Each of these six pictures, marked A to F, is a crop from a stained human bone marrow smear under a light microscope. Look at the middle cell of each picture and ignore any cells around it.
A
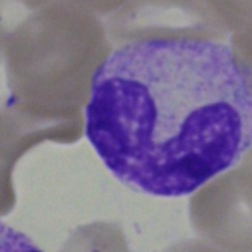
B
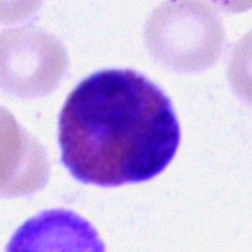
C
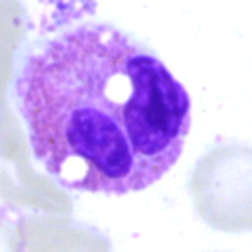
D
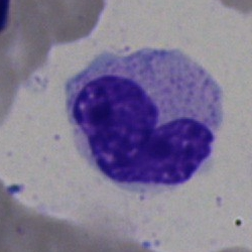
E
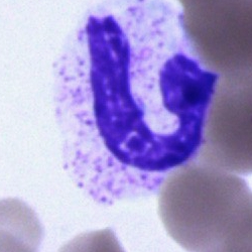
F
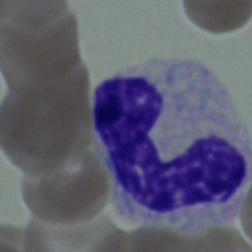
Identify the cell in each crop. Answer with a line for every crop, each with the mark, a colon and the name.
A: band neutrophil
B: eosinophil
C: eosinophil
D: band neutrophil
E: band neutrophil
F: band neutrophil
